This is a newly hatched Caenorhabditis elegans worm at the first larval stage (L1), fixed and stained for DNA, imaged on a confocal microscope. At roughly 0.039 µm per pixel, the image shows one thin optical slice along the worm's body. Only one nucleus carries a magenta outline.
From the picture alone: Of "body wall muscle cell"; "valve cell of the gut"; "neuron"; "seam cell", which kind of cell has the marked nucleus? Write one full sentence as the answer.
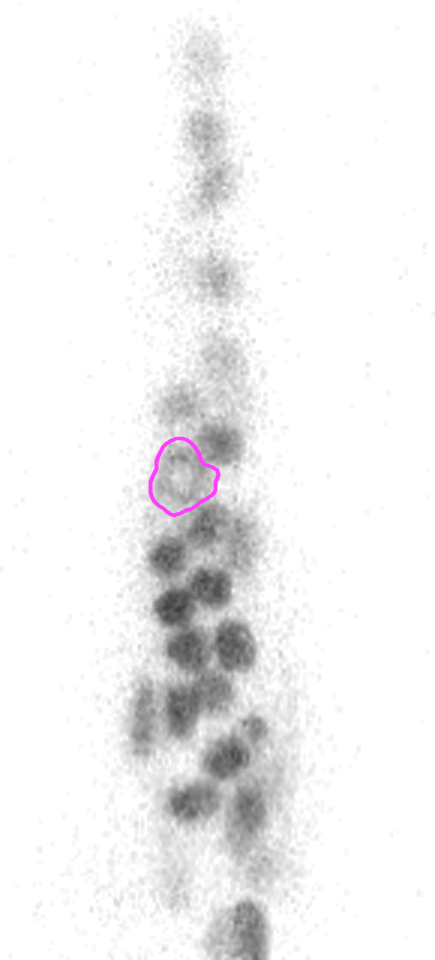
This is the nucleus of a seam cell.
